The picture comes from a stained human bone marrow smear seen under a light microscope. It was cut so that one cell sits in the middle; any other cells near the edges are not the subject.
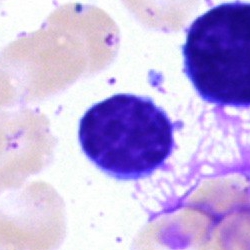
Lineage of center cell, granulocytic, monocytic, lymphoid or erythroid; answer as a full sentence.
The central cell in this crop should be counted within the lymphoid lineage.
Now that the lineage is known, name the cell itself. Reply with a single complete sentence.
In the center of this field lies a lymphocyte.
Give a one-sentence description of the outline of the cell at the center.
No projections interrupt the outline; it is smooth all the way round.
